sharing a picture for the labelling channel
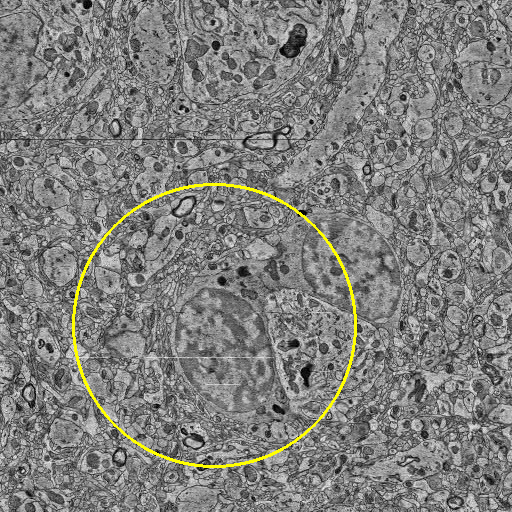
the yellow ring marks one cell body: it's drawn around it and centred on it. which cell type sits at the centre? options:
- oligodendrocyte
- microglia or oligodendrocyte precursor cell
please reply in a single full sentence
In the picture, the cell at the ring's centre is an oligodendrocyte, going by the list.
